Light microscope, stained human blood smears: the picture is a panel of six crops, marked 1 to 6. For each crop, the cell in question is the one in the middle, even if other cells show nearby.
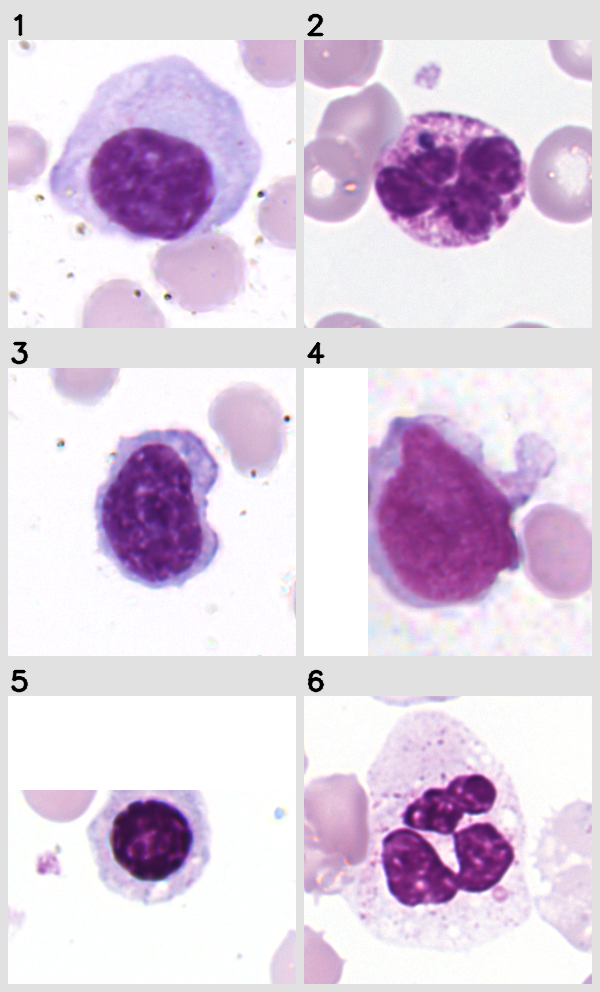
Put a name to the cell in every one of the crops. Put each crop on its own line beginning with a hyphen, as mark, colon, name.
- 1: plasma cell
- 2: basophil
- 3: plasma cell
- 4: atypical promyelocyte
- 5: normoblast
- 6: segmented neutrophil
